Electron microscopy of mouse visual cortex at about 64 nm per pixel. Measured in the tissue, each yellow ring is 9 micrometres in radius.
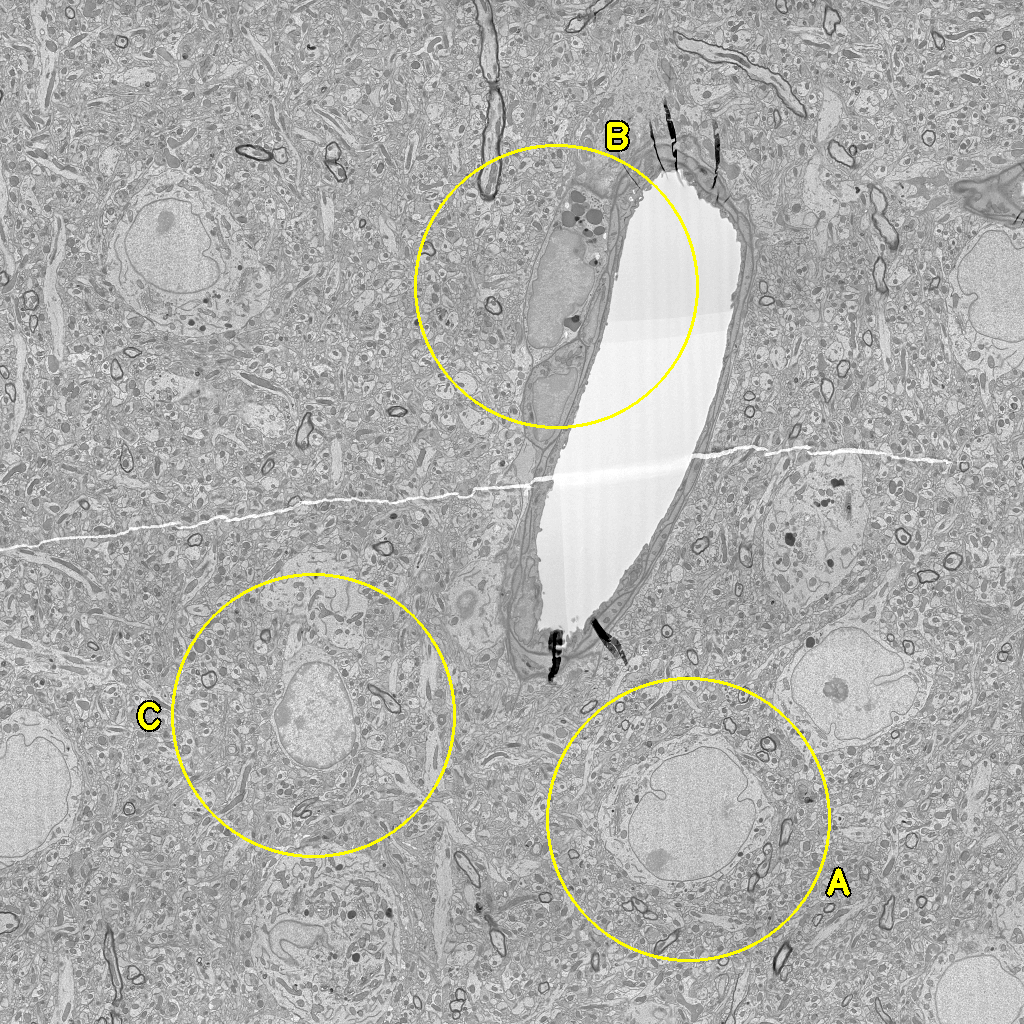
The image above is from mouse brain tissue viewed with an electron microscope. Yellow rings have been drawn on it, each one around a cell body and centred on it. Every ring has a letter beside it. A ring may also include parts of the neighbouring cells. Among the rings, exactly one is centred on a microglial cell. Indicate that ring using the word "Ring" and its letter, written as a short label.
Ring B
